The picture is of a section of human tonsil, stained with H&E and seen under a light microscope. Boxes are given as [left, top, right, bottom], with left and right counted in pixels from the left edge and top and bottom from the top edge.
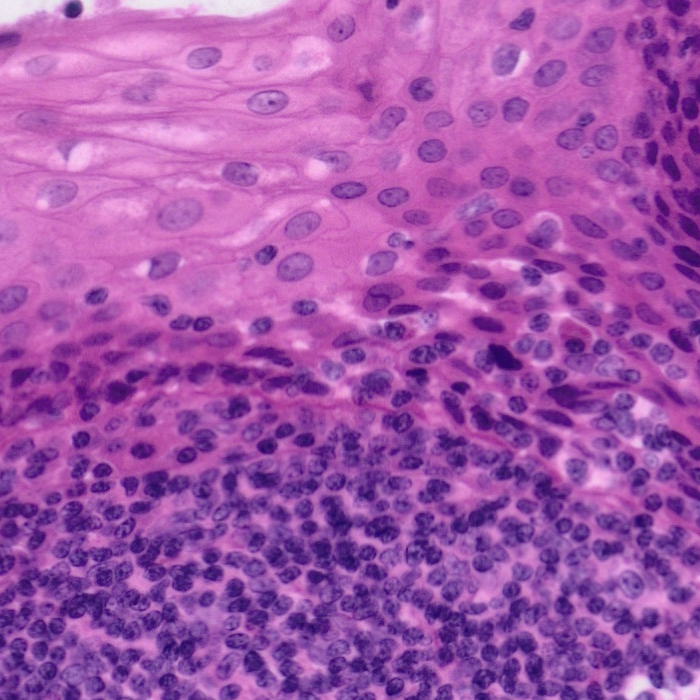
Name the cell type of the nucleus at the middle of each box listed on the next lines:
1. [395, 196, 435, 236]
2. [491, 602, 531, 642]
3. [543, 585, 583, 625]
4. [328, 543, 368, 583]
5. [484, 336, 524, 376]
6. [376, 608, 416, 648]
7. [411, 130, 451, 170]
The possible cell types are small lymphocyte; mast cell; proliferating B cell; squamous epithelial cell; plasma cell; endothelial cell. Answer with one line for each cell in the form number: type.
1: squamous epithelial cell
2: small lymphocyte
3: small lymphocyte
4: small lymphocyte
5: squamous epithelial cell
6: small lymphocyte
7: squamous epithelial cell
